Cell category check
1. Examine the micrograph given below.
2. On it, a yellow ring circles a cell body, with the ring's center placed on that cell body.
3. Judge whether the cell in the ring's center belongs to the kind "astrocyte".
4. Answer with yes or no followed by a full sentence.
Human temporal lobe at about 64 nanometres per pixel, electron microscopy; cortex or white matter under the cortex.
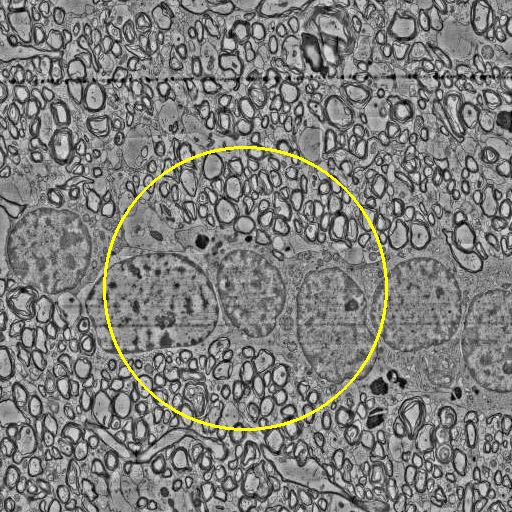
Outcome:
No, the cell found at the ring's center in the micrograph belongs to another kind.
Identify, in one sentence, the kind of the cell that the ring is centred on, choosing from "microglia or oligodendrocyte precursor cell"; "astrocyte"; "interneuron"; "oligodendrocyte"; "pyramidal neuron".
The cell circled by the yellow ring is an oligodendrocyte.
